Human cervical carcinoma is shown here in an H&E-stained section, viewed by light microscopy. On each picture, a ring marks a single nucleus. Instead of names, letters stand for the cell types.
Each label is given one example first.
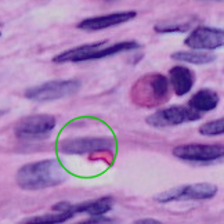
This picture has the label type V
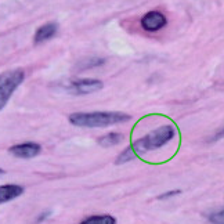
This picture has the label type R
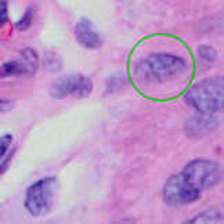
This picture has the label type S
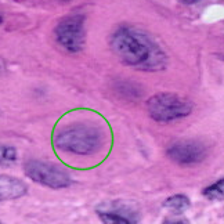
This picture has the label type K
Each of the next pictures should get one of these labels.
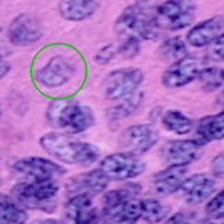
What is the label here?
type K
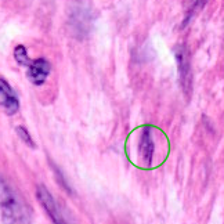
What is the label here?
type R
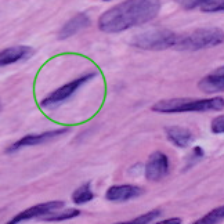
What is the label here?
type R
